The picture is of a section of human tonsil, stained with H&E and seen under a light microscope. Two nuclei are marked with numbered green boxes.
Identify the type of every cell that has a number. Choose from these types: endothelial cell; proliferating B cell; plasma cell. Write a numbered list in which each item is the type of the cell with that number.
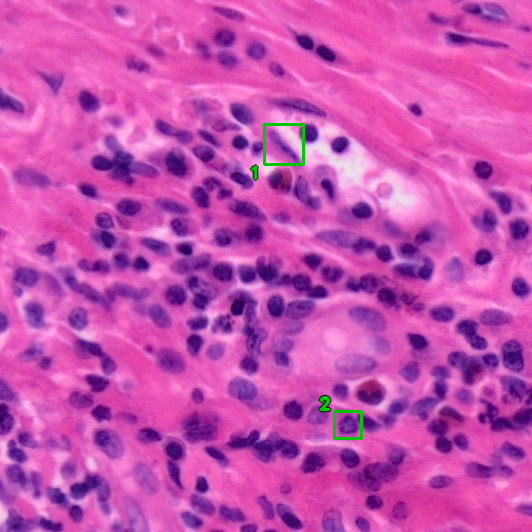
1. endothelial cell
2. plasma cell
